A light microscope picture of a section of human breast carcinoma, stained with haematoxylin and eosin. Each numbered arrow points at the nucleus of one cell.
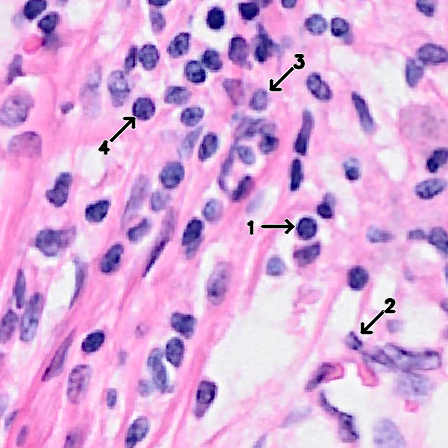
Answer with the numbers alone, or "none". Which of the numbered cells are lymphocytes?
1, 3, 4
